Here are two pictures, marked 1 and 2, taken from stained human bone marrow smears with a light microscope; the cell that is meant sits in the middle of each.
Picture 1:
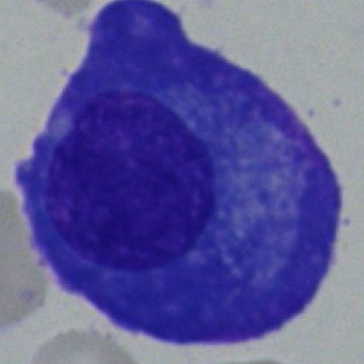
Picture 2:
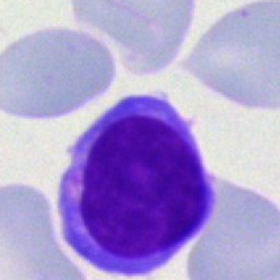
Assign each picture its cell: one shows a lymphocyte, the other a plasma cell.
1: plasma cell
2: lymphocyte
